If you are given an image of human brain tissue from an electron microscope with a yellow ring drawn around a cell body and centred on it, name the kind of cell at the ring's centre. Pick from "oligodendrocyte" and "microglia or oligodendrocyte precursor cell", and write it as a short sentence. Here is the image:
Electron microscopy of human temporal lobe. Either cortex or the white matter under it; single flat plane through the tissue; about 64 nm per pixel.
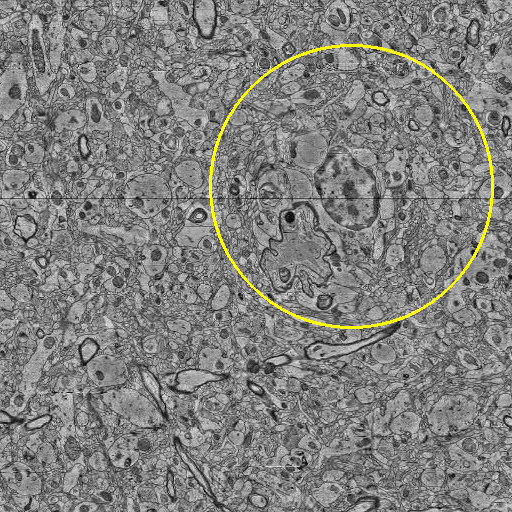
The cell at the ring's centre is a microglial cell or oligodendrocyte precursor cell.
